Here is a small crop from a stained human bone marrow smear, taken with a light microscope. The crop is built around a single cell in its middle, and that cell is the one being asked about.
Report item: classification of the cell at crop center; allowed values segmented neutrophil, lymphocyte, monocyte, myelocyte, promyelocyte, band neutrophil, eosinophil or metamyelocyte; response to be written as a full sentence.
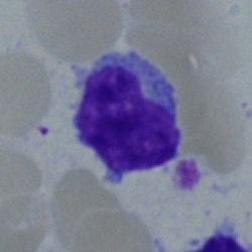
What the crop centres on is a lymphocyte.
